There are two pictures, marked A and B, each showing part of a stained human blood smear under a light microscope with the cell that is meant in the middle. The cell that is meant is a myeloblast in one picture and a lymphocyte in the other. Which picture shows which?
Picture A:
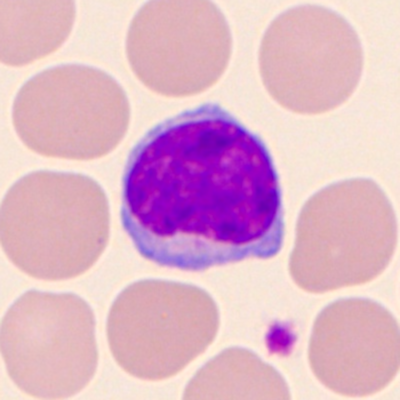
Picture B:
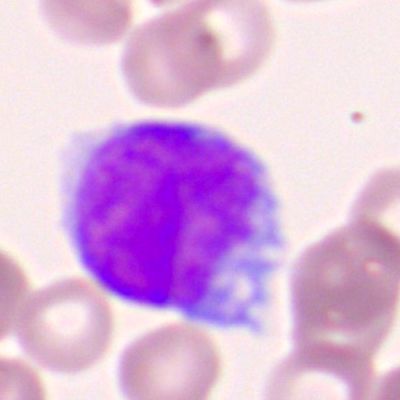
A: lymphocyte
B: myeloblast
